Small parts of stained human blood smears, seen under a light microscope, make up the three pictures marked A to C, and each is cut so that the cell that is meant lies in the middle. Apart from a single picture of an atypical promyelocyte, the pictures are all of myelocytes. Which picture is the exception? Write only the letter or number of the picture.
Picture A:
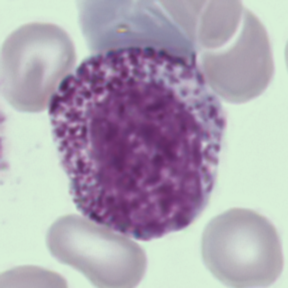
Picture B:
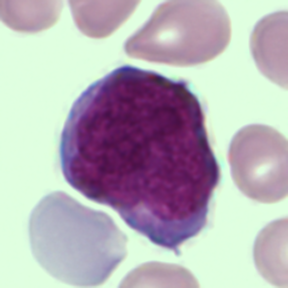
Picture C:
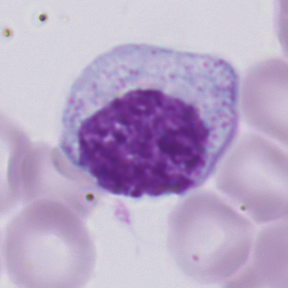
B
